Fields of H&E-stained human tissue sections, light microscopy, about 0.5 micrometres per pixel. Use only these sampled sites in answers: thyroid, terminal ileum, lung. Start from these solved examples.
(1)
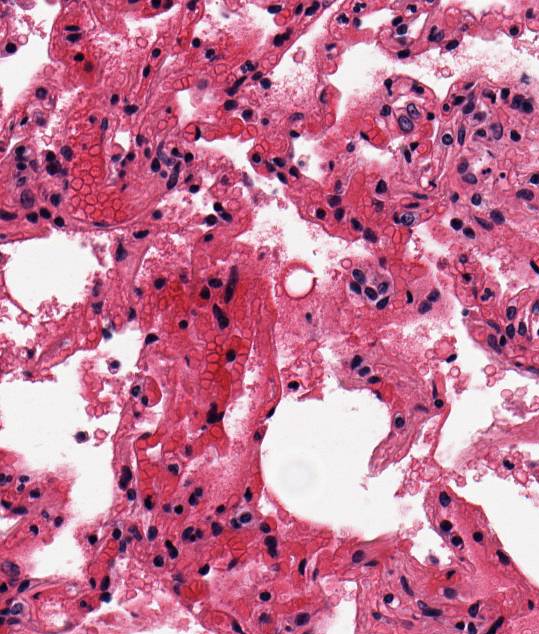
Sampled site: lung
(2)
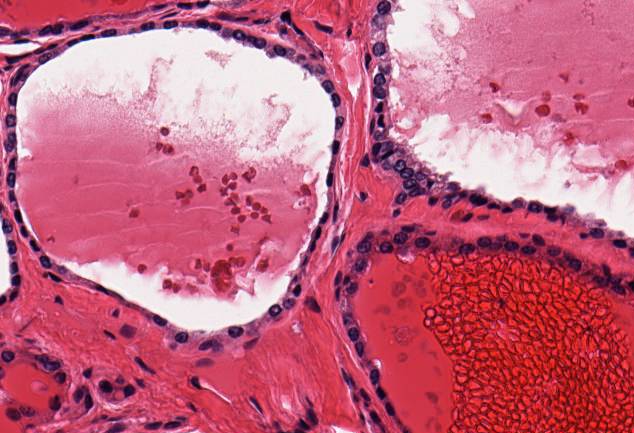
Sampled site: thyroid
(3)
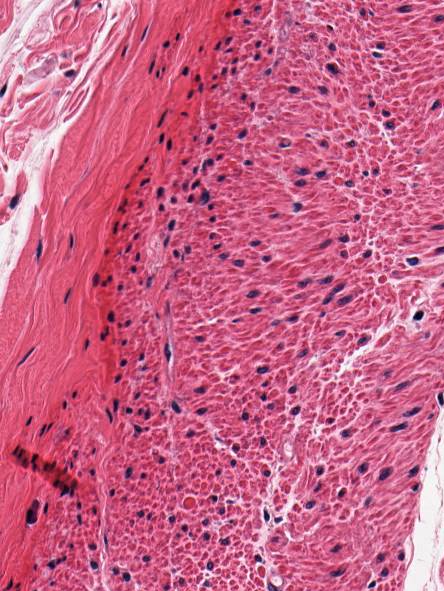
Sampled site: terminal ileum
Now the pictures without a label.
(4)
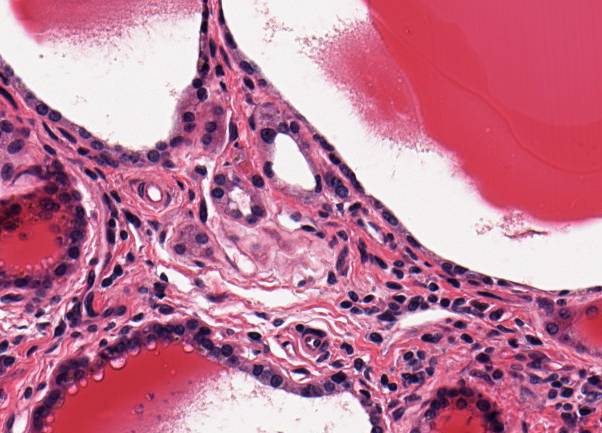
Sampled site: thyroid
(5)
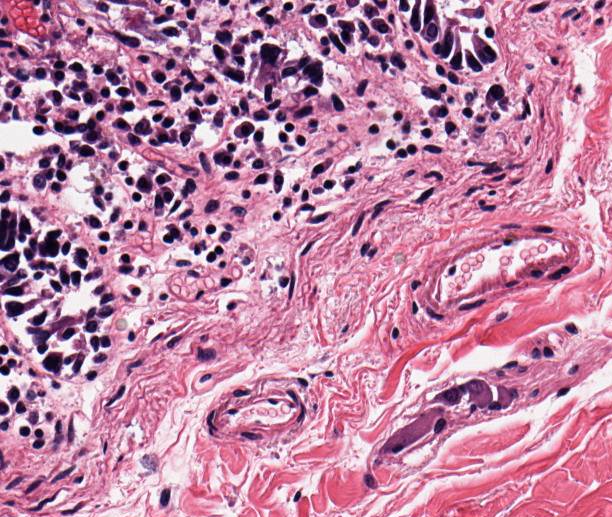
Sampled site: terminal ileum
